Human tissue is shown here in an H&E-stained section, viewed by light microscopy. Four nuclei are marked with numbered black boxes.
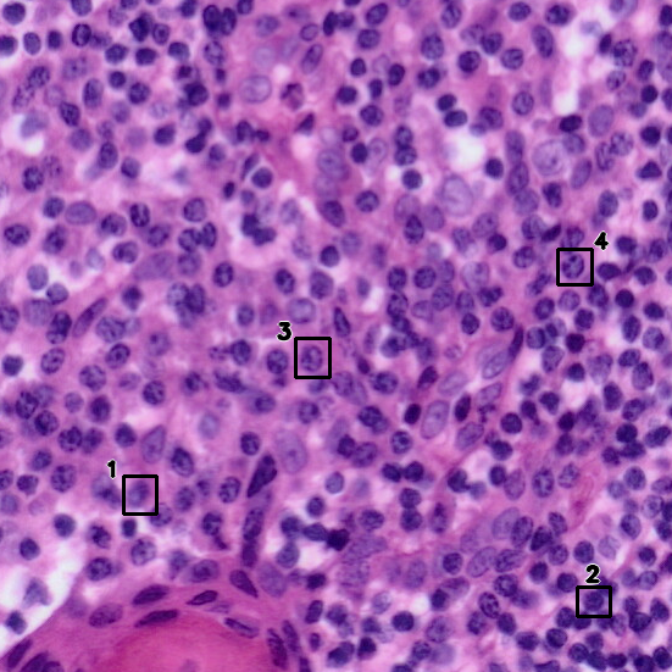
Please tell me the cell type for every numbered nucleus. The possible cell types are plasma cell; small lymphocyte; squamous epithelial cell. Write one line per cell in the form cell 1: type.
cell 1: plasma cell
cell 2: small lymphocyte
cell 3: plasma cell
cell 4: plasma cell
